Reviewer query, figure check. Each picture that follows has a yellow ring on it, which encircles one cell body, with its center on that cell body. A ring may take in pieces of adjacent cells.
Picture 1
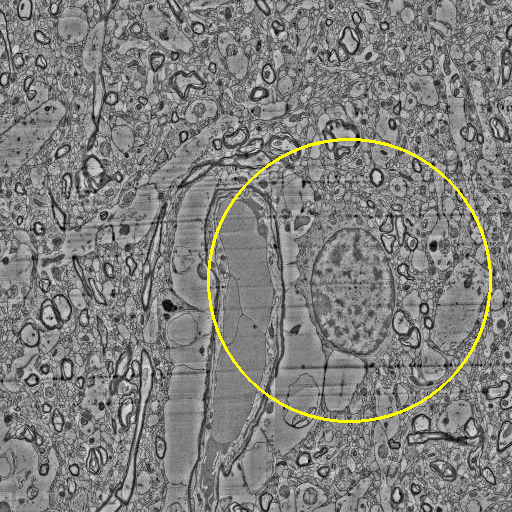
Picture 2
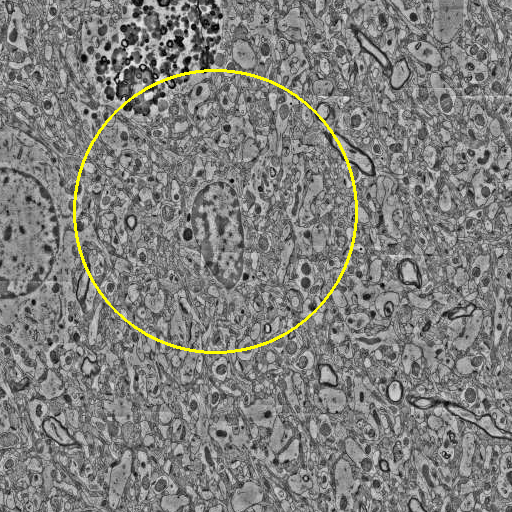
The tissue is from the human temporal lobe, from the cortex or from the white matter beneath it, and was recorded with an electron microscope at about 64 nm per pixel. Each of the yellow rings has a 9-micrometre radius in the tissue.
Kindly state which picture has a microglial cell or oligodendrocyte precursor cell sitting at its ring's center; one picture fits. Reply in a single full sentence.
In picture 2, the cell at the center of the ring is the requested one.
